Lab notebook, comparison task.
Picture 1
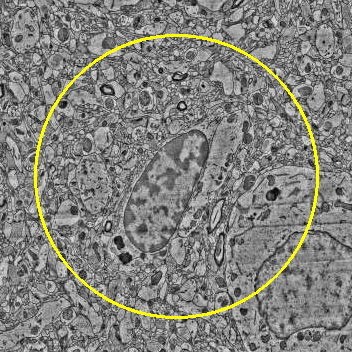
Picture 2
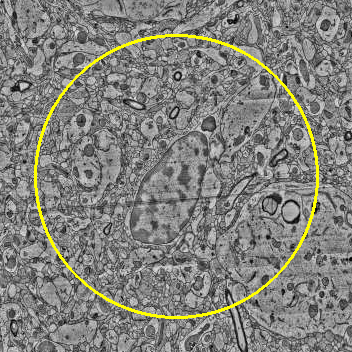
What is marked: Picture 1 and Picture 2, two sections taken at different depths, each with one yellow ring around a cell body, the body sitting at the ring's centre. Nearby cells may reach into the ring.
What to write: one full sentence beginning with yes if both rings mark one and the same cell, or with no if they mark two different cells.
Yes, a single cell lies behind both yellow marks.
